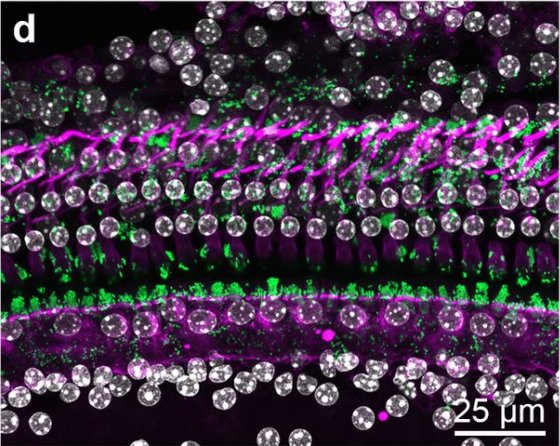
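Organ of Corti seen face-on, with round nuclei set in regular parallel rows. A row of thin magenta processes runs obliquely, regularly spaced, among the upper rows of nuclei. A bright green band with a magenta line runs lengthwise below the rows. Green puncta lie between the nuclei of the rows.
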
